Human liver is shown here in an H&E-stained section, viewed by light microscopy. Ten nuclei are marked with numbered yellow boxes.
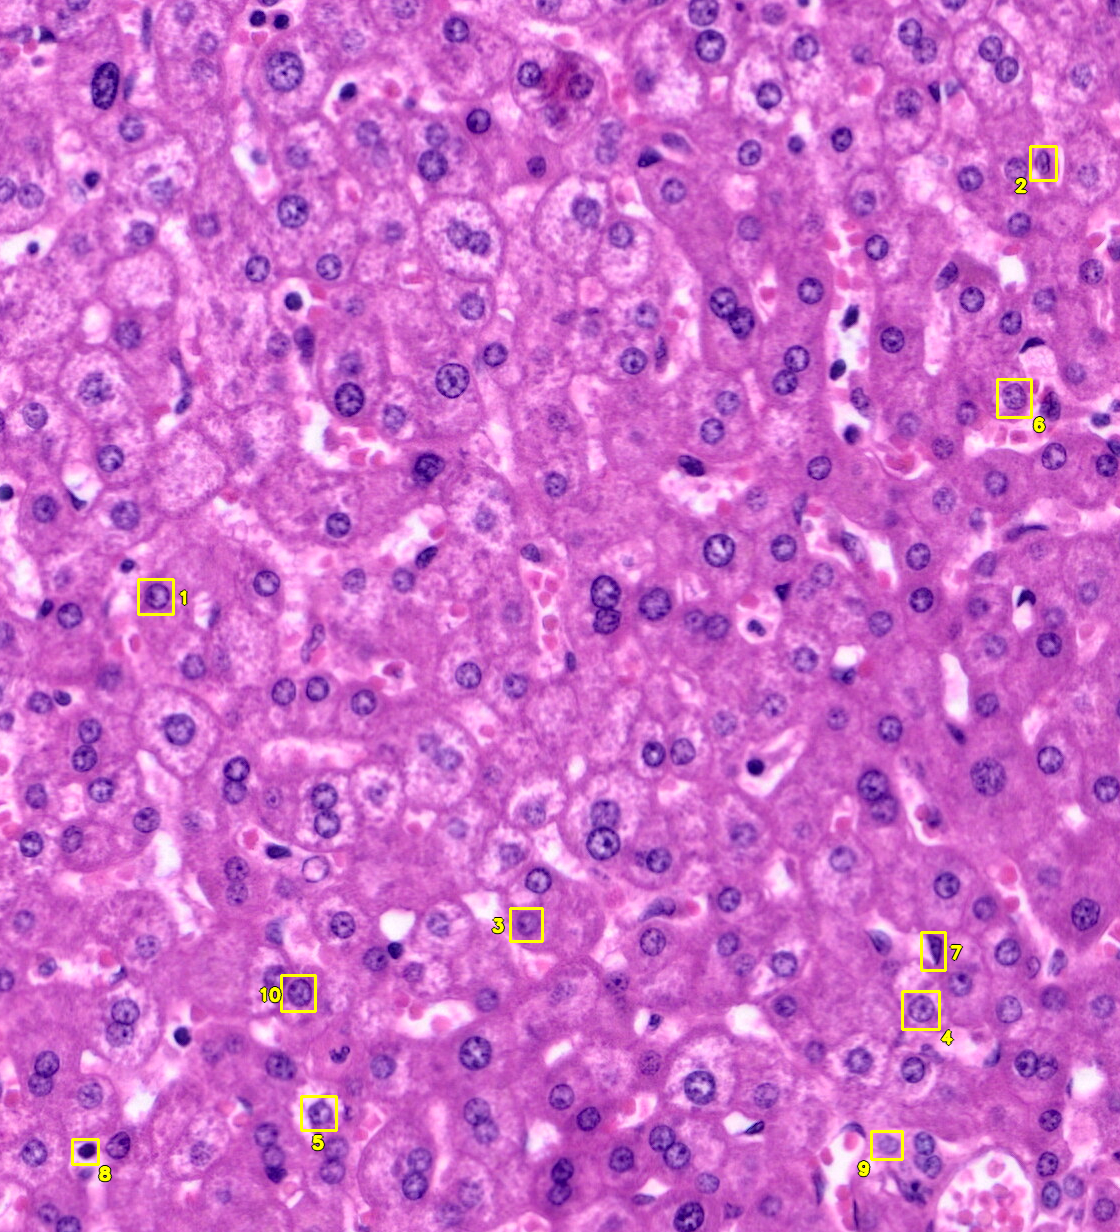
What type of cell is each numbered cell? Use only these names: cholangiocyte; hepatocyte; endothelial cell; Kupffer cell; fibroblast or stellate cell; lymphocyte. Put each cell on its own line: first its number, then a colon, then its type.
1: hepatocyte
2: Kupffer cell
3: hepatocyte
4: hepatocyte
5: hepatocyte
6: hepatocyte
7: endothelial cell
8: lymphocyte
9: cholangiocyte
10: hepatocyte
